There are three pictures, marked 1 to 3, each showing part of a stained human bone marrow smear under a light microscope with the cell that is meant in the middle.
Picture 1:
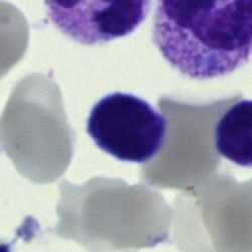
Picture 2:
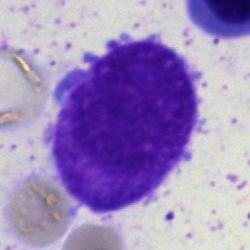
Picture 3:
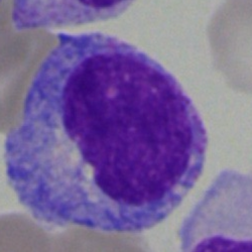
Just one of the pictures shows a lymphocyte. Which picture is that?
1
